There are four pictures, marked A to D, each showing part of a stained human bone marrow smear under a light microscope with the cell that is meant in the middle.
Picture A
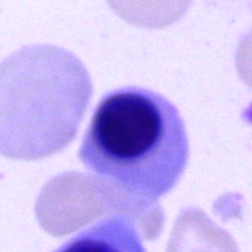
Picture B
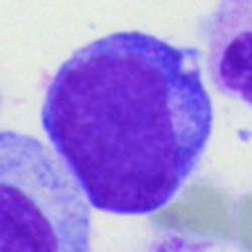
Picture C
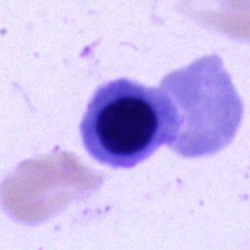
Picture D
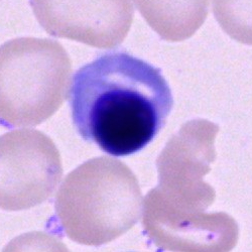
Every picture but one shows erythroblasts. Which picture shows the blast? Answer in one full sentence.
The cell in picture B is the blast.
